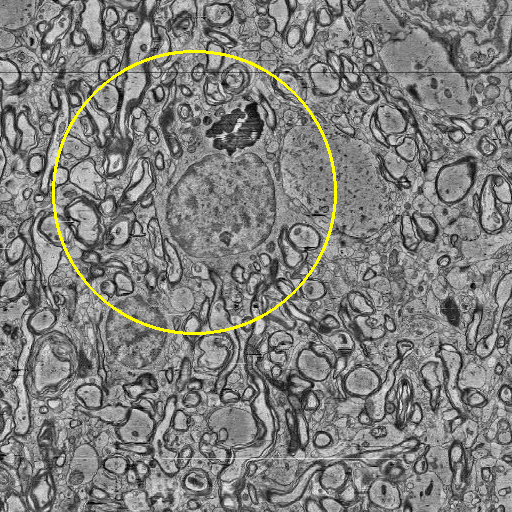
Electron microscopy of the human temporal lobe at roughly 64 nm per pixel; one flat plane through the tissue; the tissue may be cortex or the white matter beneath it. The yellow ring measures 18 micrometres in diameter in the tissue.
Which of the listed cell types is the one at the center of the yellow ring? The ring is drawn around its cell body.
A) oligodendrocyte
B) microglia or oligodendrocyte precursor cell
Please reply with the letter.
A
